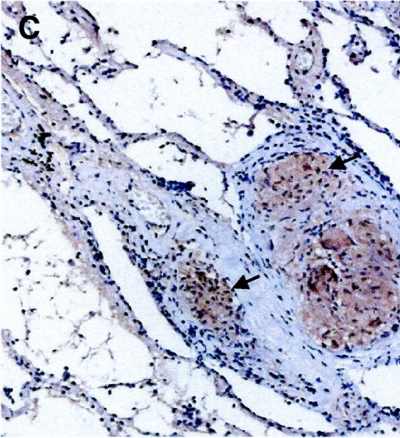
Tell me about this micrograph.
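This is lung tissue with a few round granulomatous nodules made of epithelioid cells, each wrapped in fibrous tissue. Around the nodules lies a pale bluish band with flattened, elongated nuclei, the fibrosis. Outside this, thin alveolar walls with small blue nuclei enclose empty airspaces. Most cells outside the nodules carry little or no brown stain.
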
